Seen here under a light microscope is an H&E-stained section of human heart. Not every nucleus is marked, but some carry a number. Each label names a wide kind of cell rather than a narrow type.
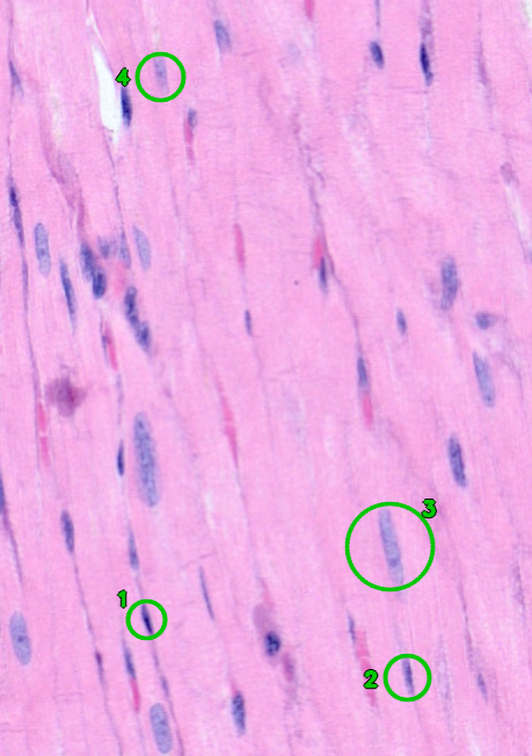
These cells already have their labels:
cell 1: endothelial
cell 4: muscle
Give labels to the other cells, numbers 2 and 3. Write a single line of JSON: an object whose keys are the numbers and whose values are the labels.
{"2": "endothelial", "3": "muscle"}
